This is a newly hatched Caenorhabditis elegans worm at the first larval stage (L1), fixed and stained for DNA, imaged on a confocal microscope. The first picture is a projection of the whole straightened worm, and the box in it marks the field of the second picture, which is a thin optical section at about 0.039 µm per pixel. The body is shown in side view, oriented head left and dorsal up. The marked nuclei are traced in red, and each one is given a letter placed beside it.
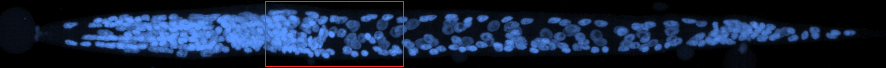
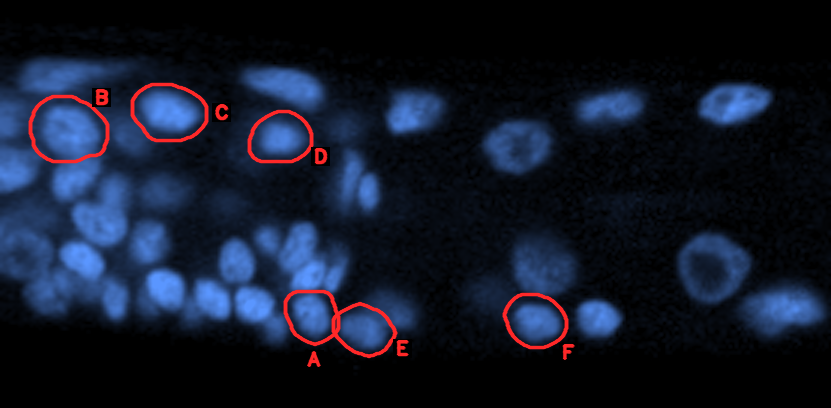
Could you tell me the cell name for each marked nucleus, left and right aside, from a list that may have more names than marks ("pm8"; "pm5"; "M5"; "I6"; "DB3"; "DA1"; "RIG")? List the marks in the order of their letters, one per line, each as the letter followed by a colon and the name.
A: RIG
B: pm5
C: I6
D: M5
E: DA1
F: DB3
